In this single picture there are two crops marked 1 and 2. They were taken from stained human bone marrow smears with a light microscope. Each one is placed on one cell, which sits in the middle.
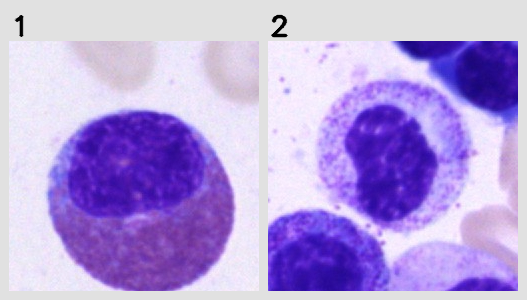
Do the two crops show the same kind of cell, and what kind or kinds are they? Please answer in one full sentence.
No, an eosinophil is centred in crop 1, and a metamyelocyte is centred in crop 2.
